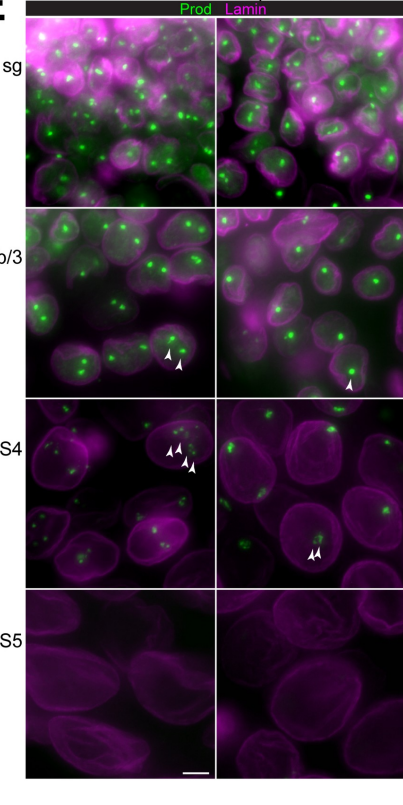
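Rows show spermatogonial cells and spermatocytes at successive stages, each nucleus outlined by a magenta rim of the nuclear envelope. The small spermatogonial nuclei are crowded together and each holds one or a few bright green foci; the spermatocyte nuclei become progressively larger and more widely spaced, and in the largest nuclei of the bottom row no green foci are seen.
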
